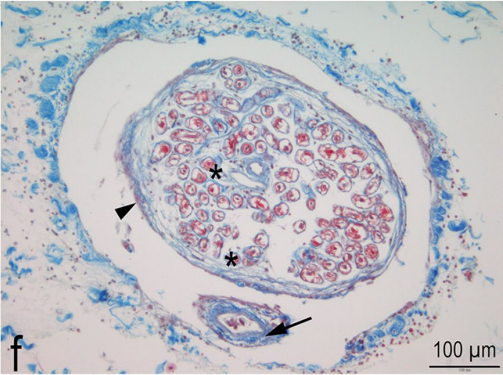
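This is a cross-section of a nerve bundle lying in connective tissue, with a small blood vessel beside it. The whole bundle is enclosed by a thin sheath and separated from the outer tissue by a clear space. Around it the connective tissue stains blue and contains scattered cells. Below the bundle a small vessel with a wall and red content runs alongside it.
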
